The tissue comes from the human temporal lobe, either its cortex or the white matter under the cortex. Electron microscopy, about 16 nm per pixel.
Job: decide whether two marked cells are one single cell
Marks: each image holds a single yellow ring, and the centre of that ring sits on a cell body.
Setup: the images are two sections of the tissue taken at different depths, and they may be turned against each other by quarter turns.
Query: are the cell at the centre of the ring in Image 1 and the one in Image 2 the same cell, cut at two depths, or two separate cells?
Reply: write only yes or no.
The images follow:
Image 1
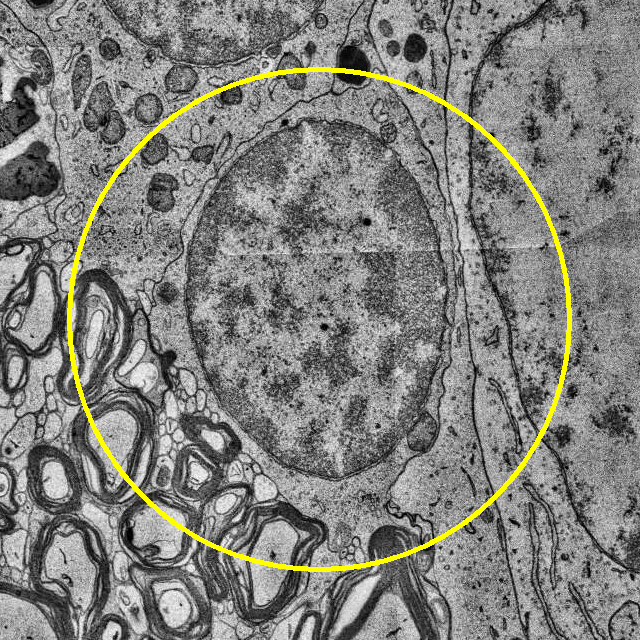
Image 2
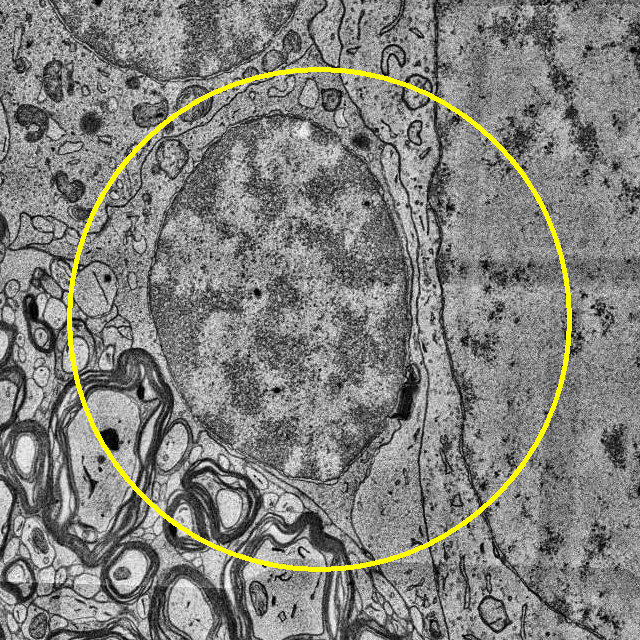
yes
